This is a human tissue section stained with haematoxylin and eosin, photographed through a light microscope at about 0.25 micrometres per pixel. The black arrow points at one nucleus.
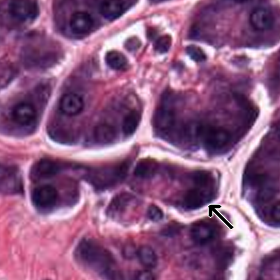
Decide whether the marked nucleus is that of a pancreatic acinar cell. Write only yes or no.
yes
